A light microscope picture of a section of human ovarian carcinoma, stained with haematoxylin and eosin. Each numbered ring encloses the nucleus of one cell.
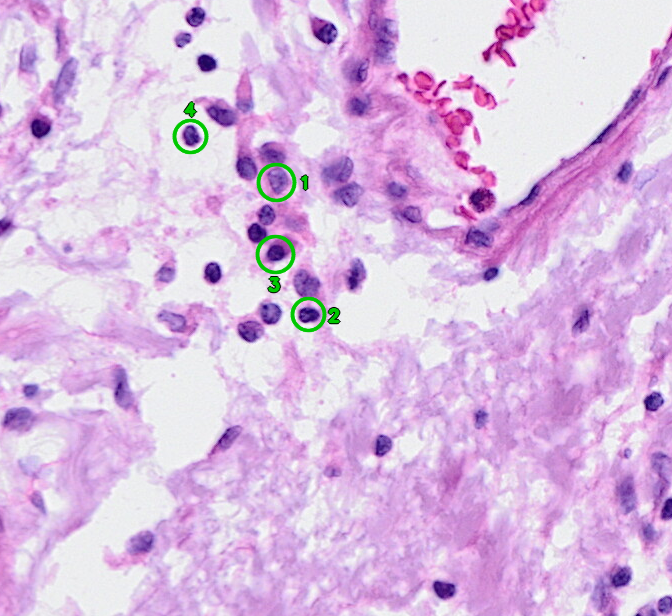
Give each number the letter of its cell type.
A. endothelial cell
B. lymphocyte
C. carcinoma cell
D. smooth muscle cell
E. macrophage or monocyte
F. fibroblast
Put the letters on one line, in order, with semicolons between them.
E; B; B; B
